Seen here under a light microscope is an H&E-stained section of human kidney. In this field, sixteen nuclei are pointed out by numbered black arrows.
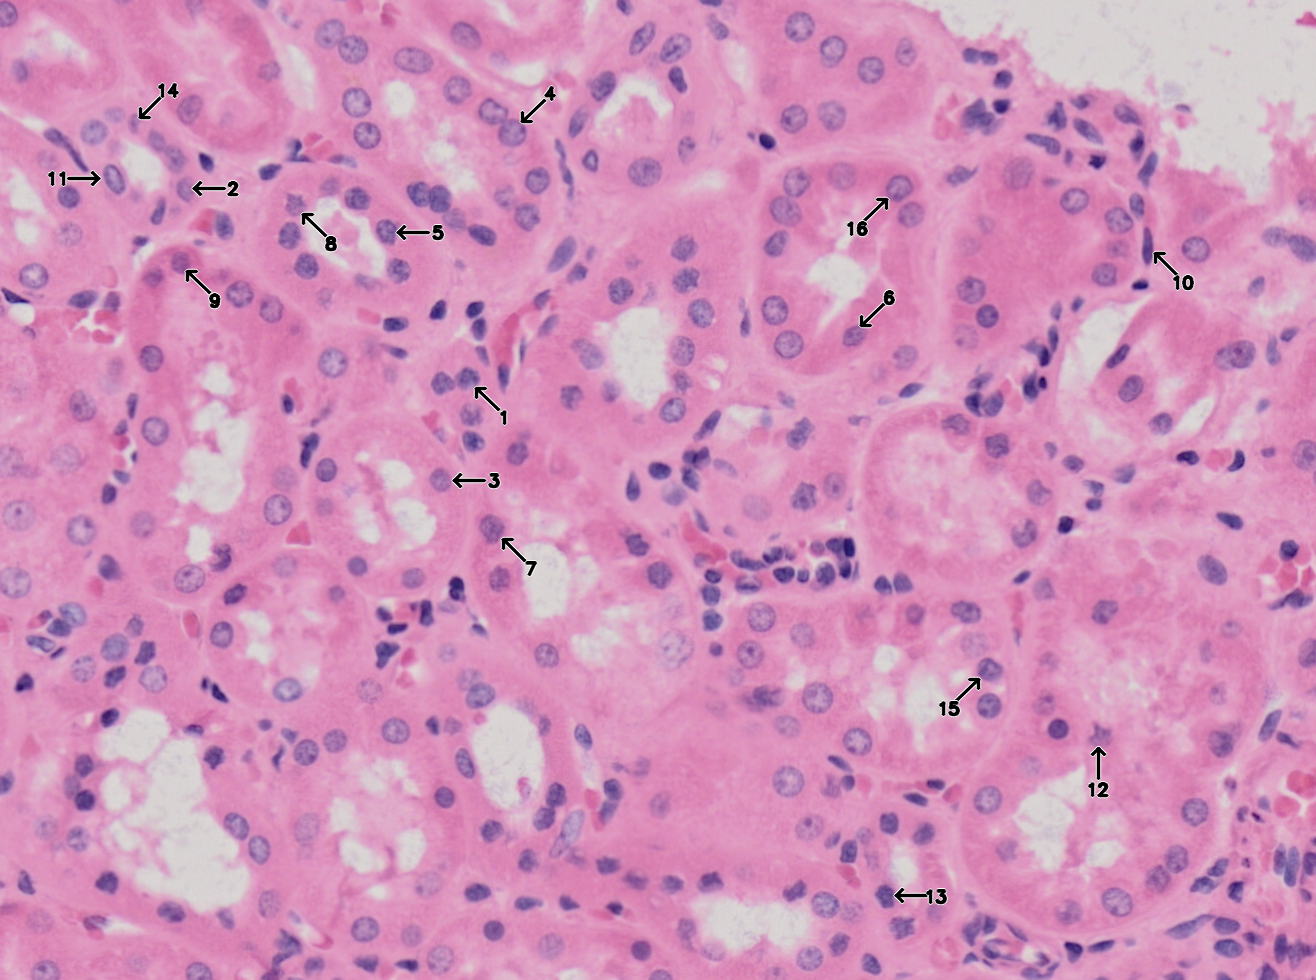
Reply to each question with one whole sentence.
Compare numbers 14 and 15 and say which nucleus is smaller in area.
Number 14 is smaller, since number 15 takes up about 2.5 times as much area.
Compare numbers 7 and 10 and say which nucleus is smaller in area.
The smaller nucleus is 10, and 7 covers roughly 1.5 times its area.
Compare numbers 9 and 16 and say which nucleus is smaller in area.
The smaller nucleus is 9, and 16 covers roughly 1.5 times its area.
